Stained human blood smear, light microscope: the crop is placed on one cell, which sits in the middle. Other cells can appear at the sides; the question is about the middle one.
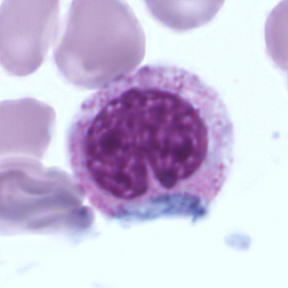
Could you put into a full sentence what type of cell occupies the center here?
The middle of this crop is occupied by a band neutrophil.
